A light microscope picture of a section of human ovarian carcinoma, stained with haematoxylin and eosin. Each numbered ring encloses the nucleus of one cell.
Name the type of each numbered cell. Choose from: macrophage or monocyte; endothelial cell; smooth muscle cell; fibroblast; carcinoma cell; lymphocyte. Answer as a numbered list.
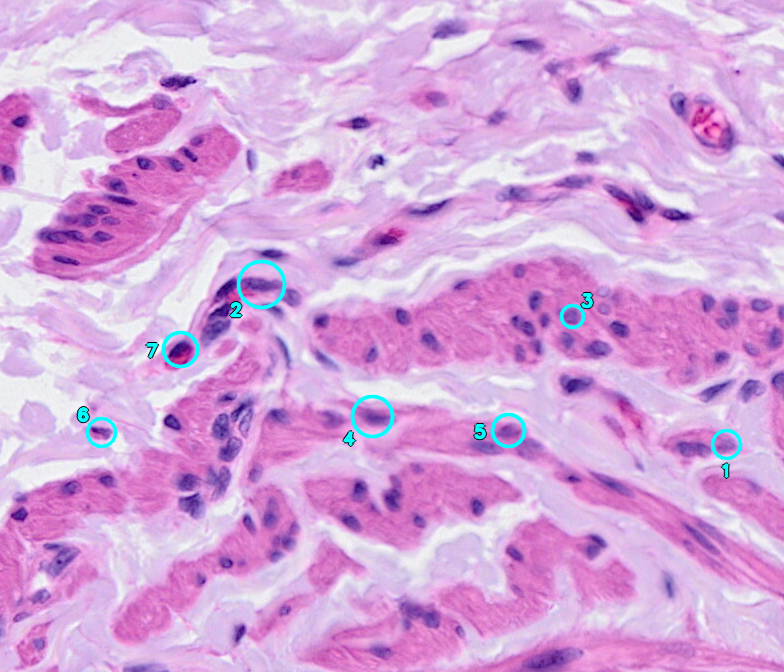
1. smooth muscle cell
2. endothelial cell
3. smooth muscle cell
4. smooth muscle cell
5. smooth muscle cell
6. fibroblast
7. endothelial cell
